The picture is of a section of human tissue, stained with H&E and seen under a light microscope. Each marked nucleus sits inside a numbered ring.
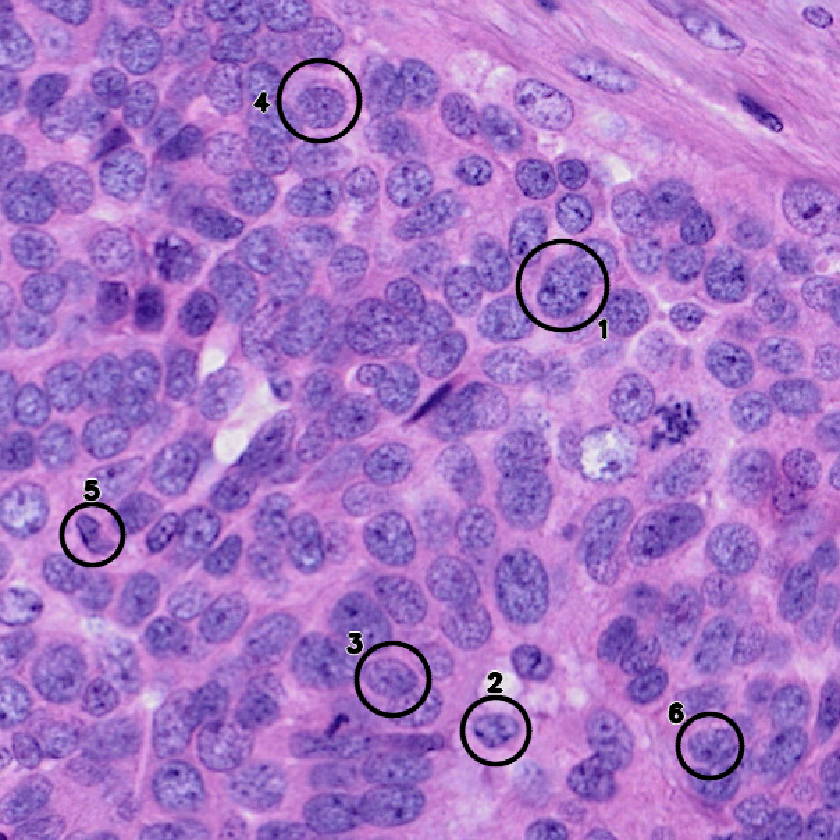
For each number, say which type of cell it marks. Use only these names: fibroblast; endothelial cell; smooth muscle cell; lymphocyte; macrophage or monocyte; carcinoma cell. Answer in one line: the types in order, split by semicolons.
carcinoma cell; macrophage or monocyte; carcinoma cell; carcinoma cell; macrophage or monocyte; carcinoma cell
